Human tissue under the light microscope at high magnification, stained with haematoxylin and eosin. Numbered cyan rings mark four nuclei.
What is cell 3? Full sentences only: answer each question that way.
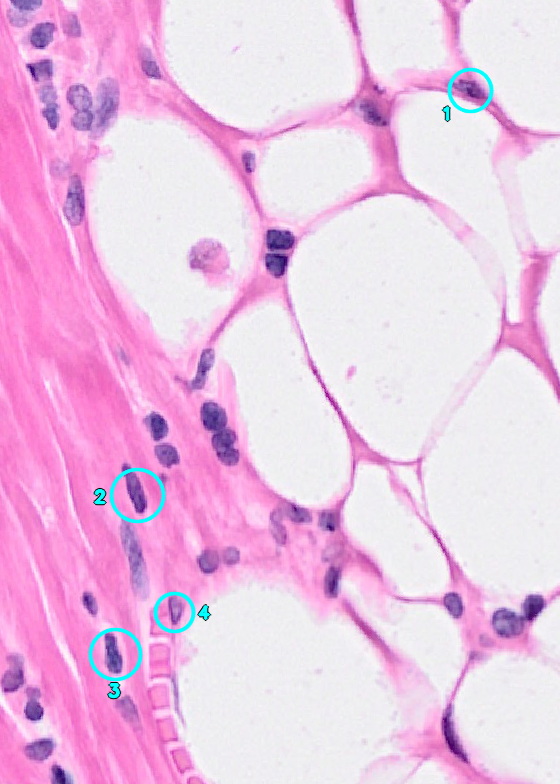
The expected answer is that cell 3 is a lymphocyte.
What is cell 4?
The nucleus labeled 4 belongs to an endothelial cell.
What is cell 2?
Nucleus 2 in this section belongs to a lymphocyte.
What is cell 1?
Cell 1 in the field of view is an endothelial cell.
